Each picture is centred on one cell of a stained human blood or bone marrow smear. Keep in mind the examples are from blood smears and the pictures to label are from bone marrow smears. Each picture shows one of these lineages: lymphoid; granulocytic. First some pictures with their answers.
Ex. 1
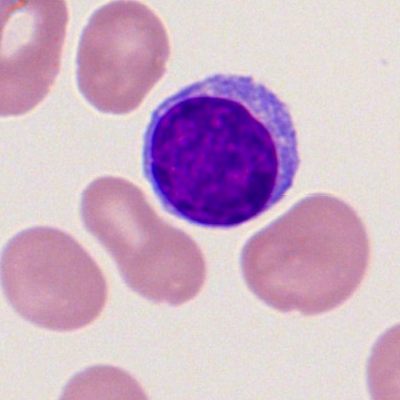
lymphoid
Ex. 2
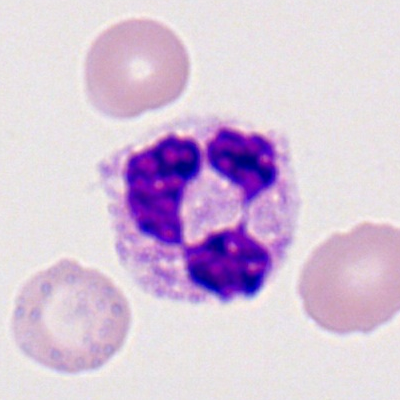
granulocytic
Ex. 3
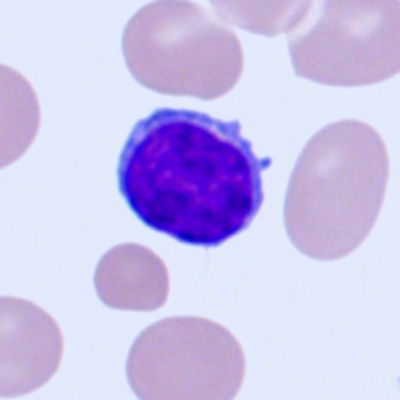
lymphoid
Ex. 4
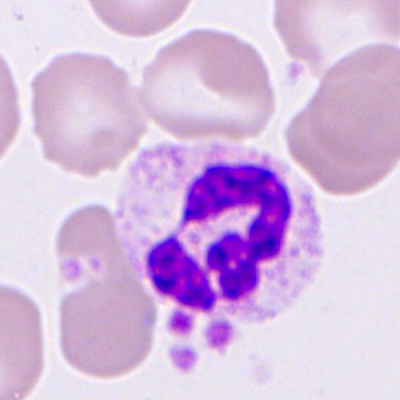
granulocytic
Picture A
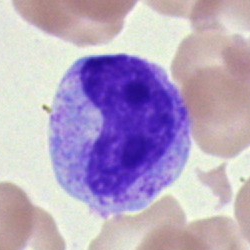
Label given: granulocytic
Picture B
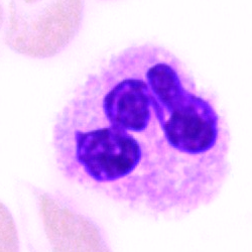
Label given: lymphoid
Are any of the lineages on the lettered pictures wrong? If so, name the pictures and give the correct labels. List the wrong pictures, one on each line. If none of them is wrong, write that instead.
B is labelled lymphoid; correct label: granulocytic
